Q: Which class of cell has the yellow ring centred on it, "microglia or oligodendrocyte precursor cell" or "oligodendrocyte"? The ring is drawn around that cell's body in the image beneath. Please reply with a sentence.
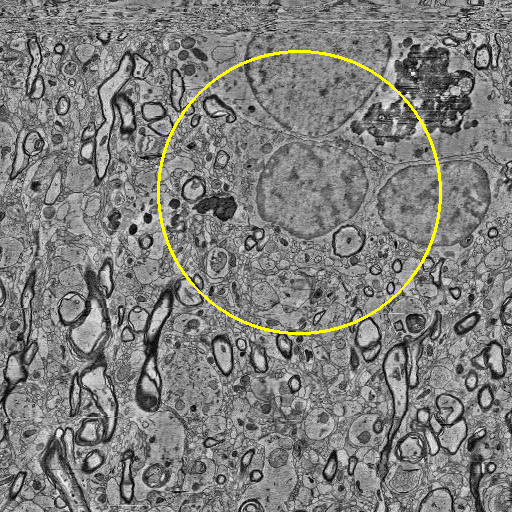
It is centred on an oligodendrocyte.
